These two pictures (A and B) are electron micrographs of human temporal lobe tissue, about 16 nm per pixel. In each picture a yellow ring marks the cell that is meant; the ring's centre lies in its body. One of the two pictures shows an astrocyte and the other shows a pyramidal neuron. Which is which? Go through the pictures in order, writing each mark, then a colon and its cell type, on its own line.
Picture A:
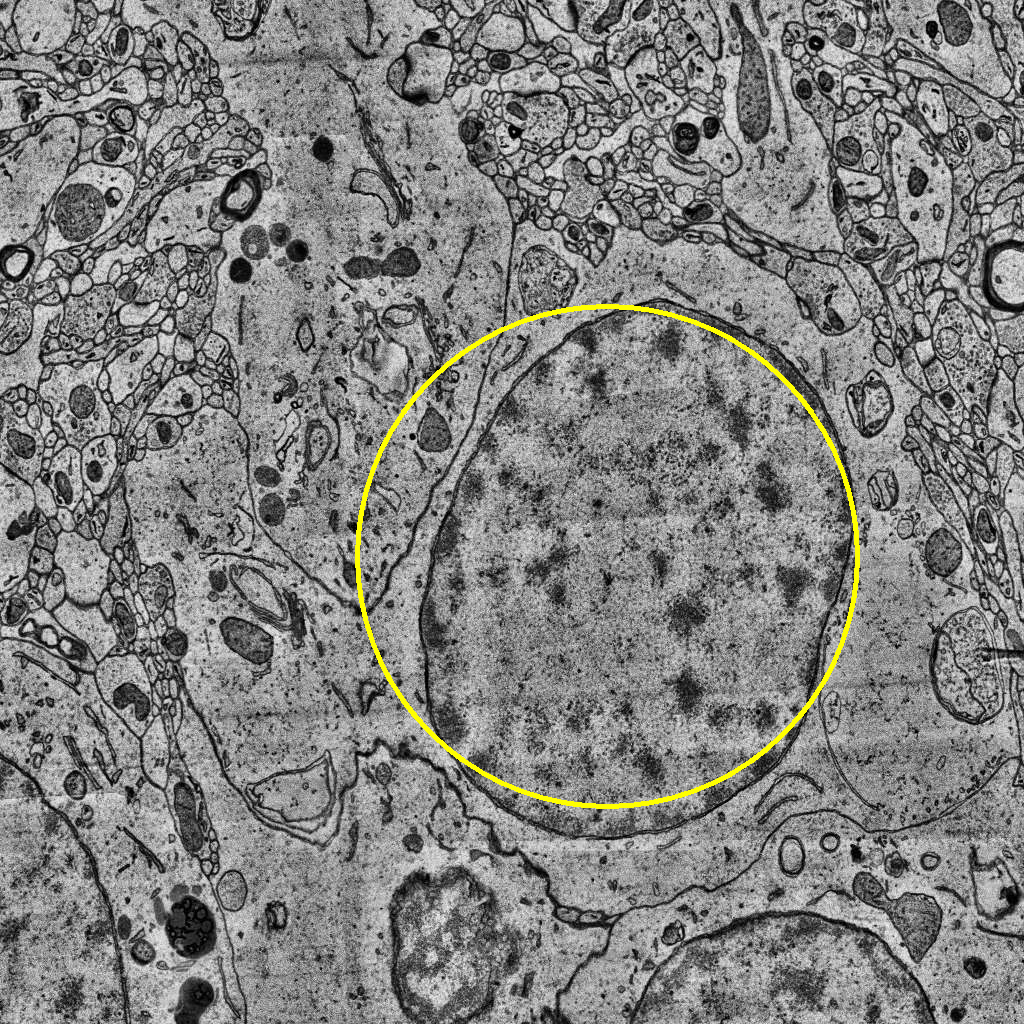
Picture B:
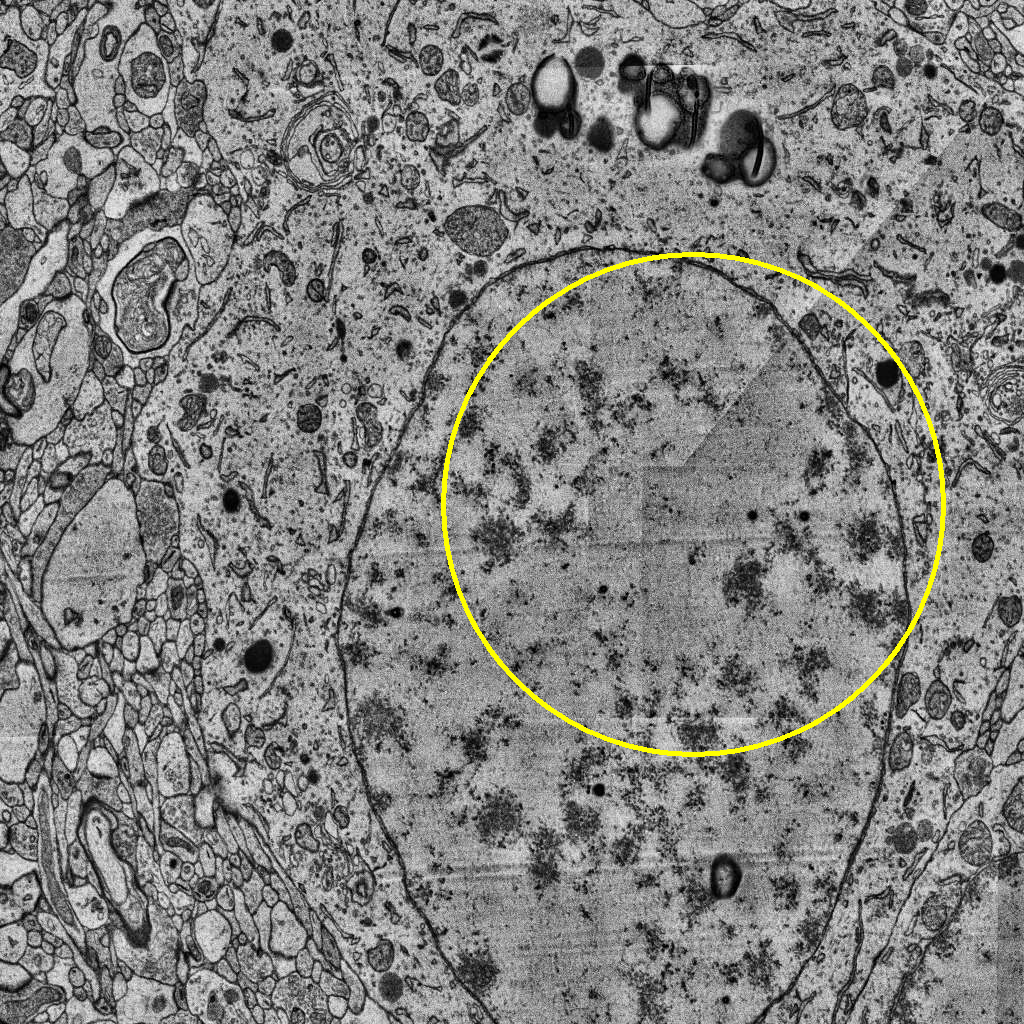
A: astrocyte
B: pyramidal neuron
